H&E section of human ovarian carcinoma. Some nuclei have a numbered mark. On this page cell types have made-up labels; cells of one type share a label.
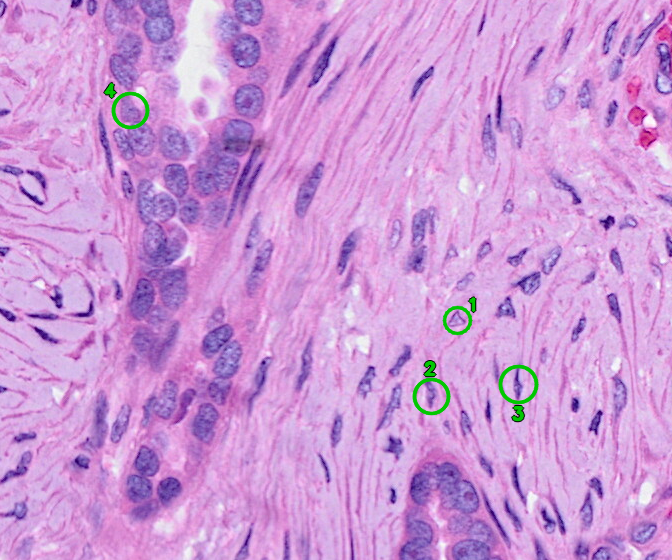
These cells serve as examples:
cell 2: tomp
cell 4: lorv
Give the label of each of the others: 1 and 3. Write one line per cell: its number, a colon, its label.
1: tomp
3: tomp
